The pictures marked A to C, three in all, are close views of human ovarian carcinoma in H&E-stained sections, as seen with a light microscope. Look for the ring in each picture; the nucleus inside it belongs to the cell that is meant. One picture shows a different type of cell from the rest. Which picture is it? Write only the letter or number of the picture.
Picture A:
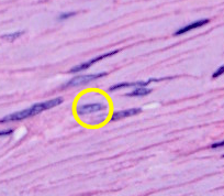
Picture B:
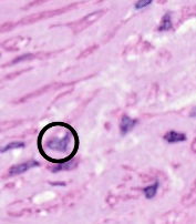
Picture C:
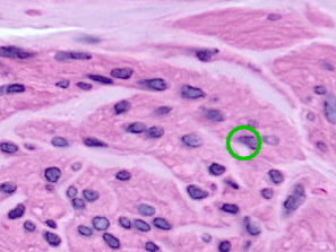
C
